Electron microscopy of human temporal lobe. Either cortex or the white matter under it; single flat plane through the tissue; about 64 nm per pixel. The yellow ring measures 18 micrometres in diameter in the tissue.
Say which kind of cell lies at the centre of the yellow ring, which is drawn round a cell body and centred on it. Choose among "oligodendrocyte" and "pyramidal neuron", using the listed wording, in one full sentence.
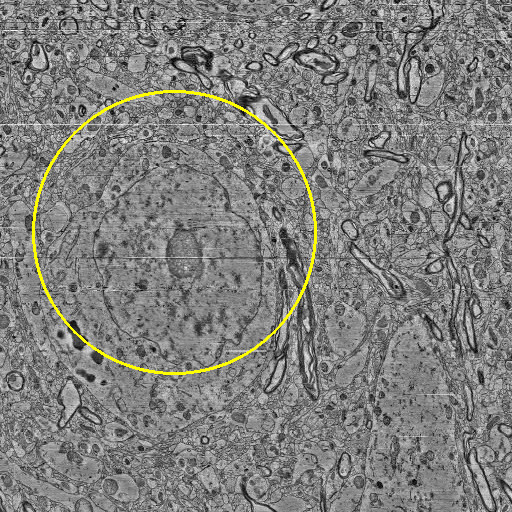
Going by the list, the cell at the yellow ring's centre is a pyramidal neuron.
